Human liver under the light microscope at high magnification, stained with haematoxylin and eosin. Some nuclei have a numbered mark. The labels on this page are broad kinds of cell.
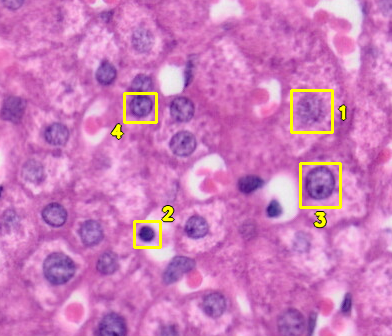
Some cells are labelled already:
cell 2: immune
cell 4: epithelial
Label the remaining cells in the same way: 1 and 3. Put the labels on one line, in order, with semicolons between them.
epithelial; epithelial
